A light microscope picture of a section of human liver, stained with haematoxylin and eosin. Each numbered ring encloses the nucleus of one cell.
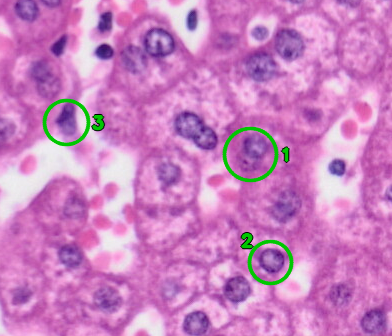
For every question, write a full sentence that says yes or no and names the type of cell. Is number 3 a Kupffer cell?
Yes, the one numbered 3 is a Kupffer cell.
